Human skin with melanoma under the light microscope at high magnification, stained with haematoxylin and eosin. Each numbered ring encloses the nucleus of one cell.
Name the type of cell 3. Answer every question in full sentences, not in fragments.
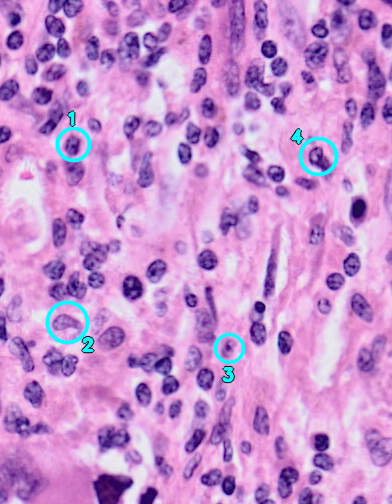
What the number 3 marks in this field is a lymphocyte.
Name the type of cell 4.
The marked nucleus 4 is that of a lymphocyte.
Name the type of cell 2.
The nucleus marked 2 is the nucleus of a macrophage or monocyte.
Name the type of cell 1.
The nucleus labeled 1 belongs to a lymphocyte.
